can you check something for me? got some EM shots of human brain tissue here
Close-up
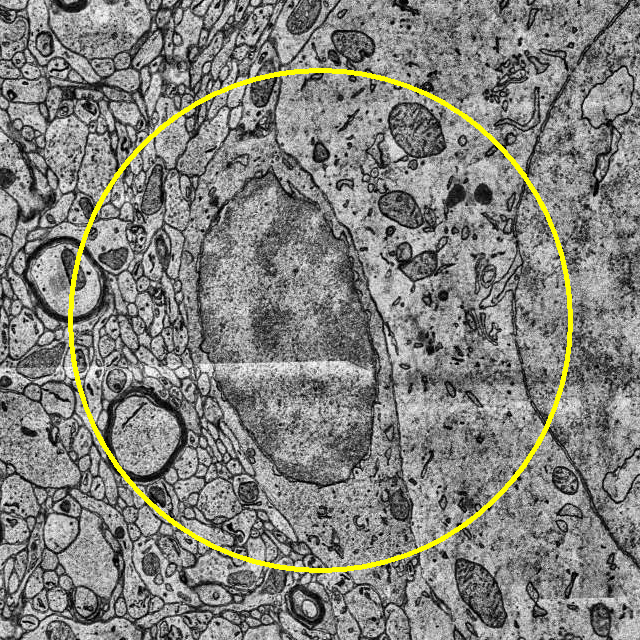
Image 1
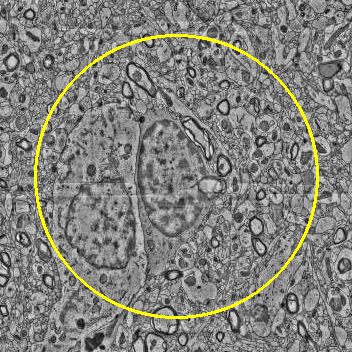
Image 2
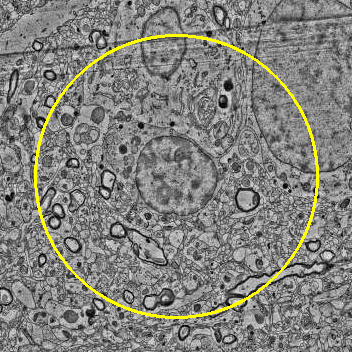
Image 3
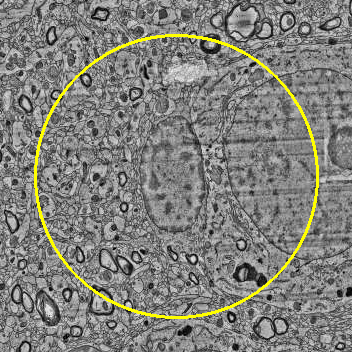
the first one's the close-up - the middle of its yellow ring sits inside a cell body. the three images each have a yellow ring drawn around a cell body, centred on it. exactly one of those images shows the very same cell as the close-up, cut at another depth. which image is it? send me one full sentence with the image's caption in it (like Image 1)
The close-up corresponds to the yellow-ringed cell in Image 3.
